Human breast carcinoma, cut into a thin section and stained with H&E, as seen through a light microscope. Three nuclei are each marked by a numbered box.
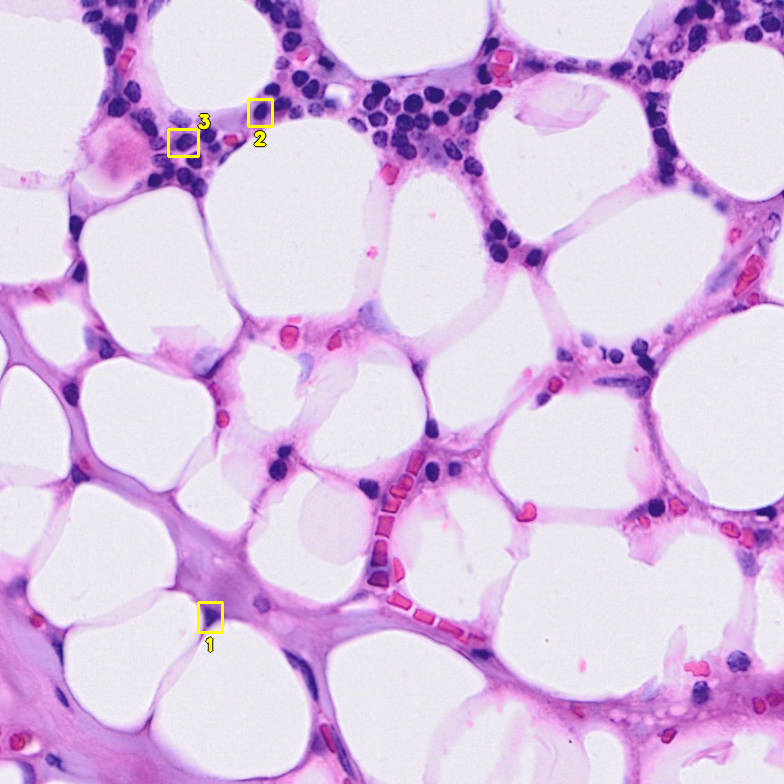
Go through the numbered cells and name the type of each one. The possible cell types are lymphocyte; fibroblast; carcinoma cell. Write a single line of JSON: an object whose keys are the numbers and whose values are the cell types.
{"1": "fibroblast", "2": "lymphocyte", "3": "lymphocyte"}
